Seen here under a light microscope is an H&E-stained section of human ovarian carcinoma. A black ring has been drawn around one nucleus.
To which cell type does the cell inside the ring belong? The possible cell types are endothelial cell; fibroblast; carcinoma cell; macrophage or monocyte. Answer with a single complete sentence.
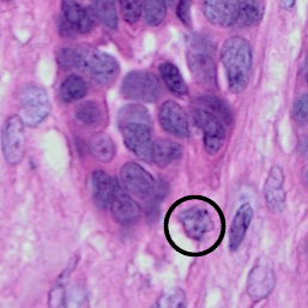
To be brief about it, the cell inside the ring is a macrophage or monocyte.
